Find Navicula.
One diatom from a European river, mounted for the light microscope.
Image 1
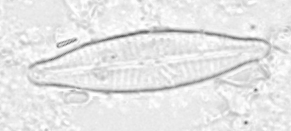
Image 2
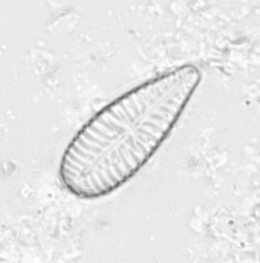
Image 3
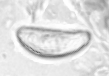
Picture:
1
